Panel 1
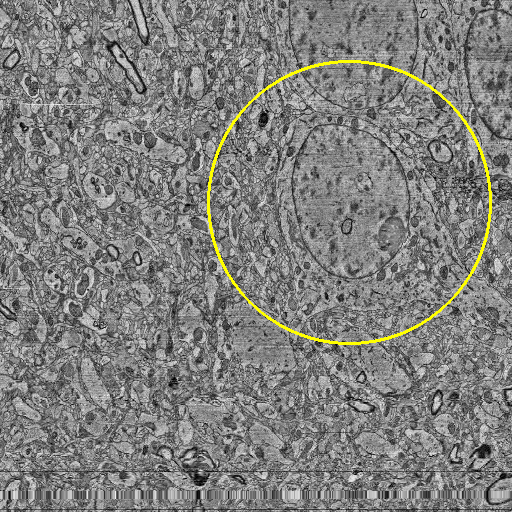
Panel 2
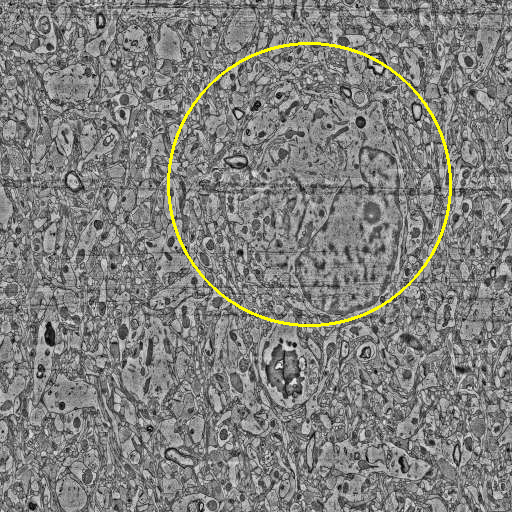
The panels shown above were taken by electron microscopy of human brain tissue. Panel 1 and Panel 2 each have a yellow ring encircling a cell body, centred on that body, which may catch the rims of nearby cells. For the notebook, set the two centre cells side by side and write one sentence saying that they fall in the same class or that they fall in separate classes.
The centred cells of Panel 1 and Panel 2 fall in separate classes.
